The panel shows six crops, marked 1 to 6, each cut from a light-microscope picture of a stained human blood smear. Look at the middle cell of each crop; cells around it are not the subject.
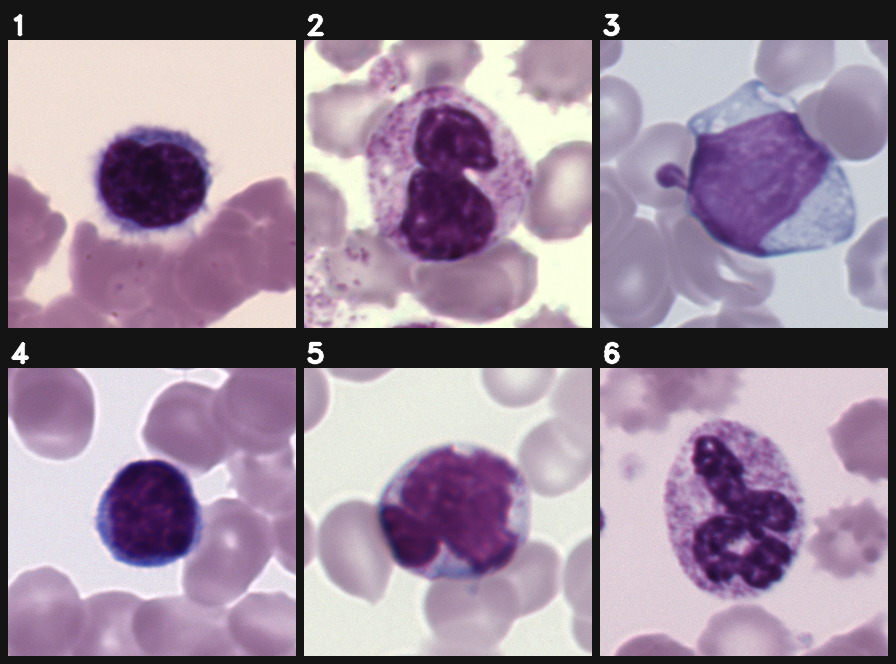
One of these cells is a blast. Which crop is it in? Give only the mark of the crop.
3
